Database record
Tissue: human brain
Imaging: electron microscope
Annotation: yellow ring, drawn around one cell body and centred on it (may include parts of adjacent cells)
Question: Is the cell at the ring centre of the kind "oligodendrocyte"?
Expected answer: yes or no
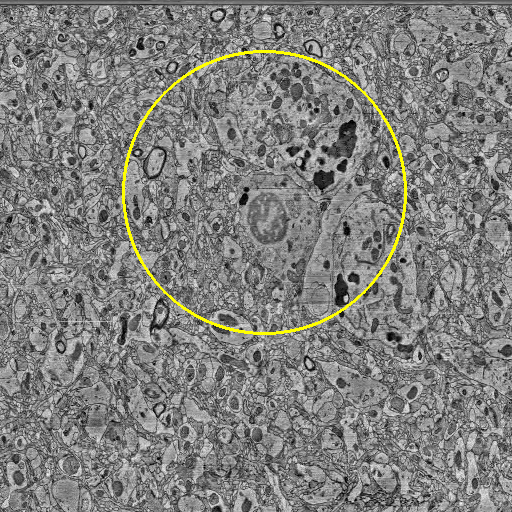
yes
